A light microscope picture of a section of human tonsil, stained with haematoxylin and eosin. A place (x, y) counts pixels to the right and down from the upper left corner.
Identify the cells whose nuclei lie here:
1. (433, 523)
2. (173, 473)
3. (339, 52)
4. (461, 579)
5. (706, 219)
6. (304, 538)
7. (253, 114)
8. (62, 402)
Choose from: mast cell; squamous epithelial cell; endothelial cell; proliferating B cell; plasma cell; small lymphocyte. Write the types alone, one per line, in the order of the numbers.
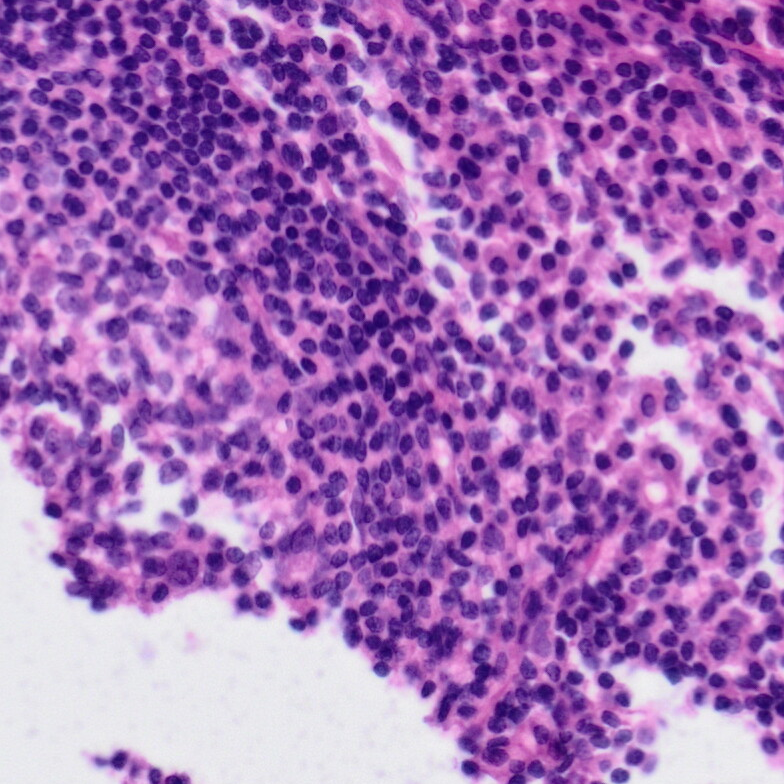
small lymphocyte
proliferating B cell
plasma cell
small lymphocyte
plasma cell
proliferating B cell
small lymphocyte
proliferating B cell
